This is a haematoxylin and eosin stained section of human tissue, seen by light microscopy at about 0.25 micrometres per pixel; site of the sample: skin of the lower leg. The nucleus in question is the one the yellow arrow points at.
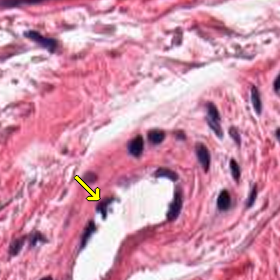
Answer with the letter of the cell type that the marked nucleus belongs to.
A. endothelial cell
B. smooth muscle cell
A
